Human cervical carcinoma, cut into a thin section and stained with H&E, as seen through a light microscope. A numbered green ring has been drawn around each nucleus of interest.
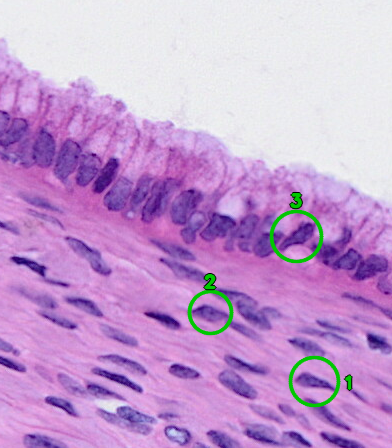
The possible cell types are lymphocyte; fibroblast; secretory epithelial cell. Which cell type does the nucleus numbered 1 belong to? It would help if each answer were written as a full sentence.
The numbered cell 1 is identified here as a fibroblast.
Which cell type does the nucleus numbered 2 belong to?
The cell identified by the number 2 is a fibroblast.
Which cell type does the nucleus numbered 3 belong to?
In this section, number 3 marks a secretory epithelial cell.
